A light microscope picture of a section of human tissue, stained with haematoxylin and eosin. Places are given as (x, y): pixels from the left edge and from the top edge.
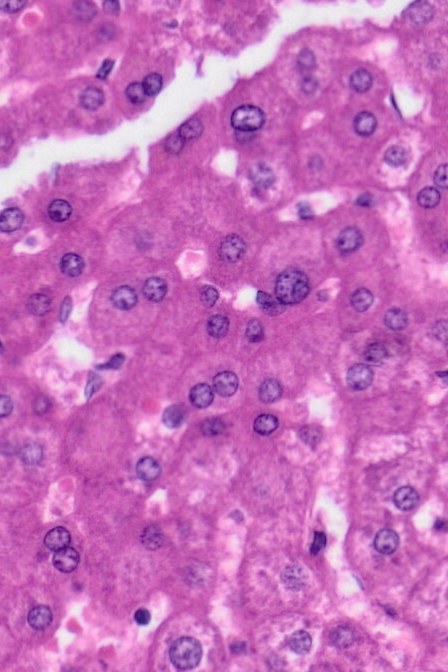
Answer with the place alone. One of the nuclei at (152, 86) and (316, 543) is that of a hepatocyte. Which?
(152, 86)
